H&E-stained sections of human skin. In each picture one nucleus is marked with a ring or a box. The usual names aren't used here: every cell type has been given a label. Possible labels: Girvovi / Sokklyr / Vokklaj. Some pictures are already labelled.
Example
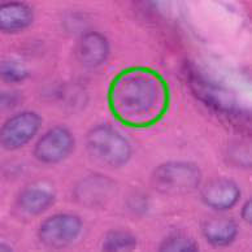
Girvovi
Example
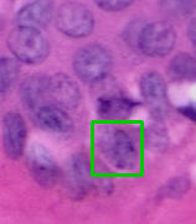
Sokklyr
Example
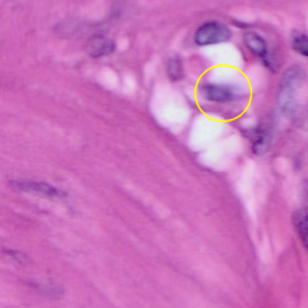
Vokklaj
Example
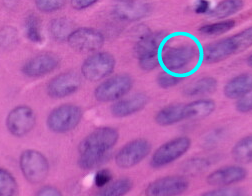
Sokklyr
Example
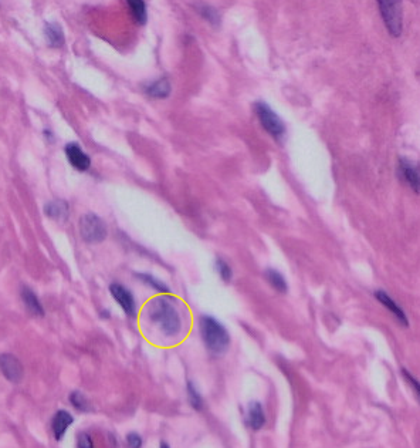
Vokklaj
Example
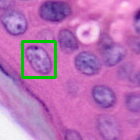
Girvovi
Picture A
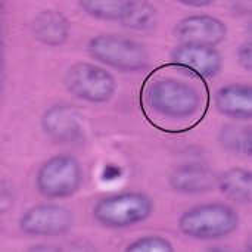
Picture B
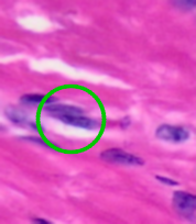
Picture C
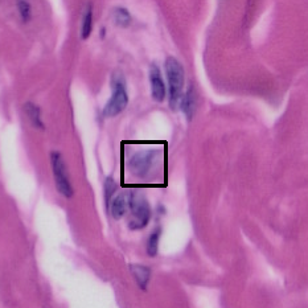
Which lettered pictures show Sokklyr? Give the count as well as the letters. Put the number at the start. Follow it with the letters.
0, none of them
